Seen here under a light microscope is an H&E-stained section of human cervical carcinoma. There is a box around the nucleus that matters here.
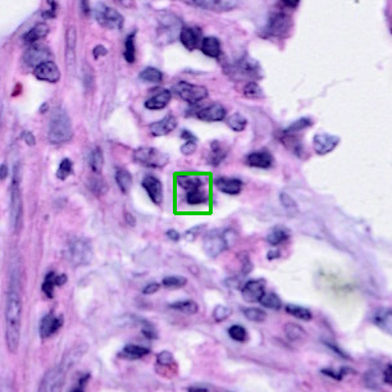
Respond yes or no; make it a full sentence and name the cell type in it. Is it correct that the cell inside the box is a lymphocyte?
Yes, the cell type of the cell inside the box is that of a lymphocyte.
